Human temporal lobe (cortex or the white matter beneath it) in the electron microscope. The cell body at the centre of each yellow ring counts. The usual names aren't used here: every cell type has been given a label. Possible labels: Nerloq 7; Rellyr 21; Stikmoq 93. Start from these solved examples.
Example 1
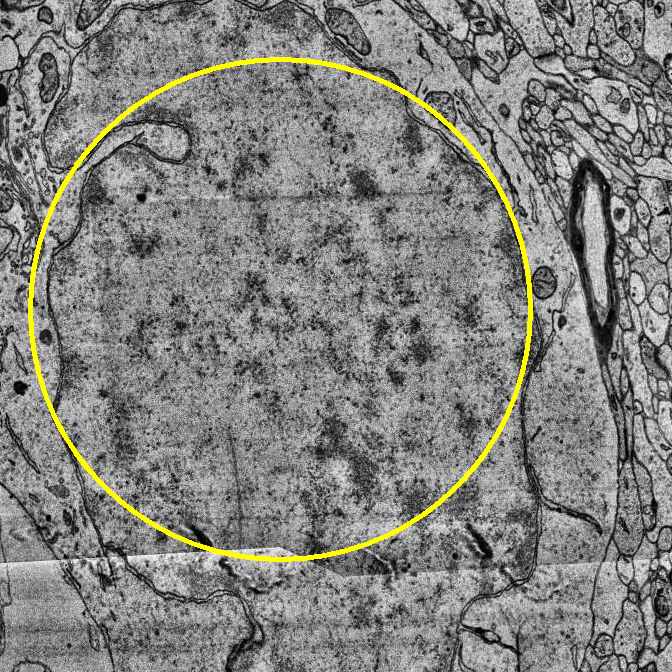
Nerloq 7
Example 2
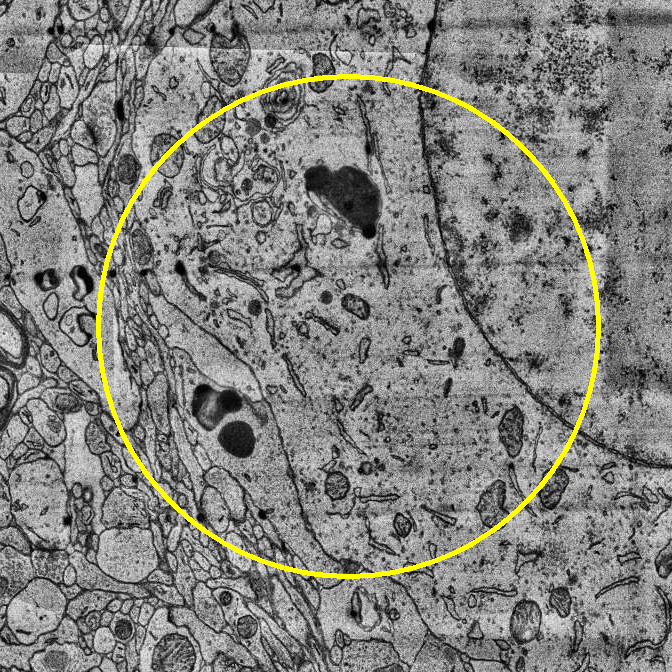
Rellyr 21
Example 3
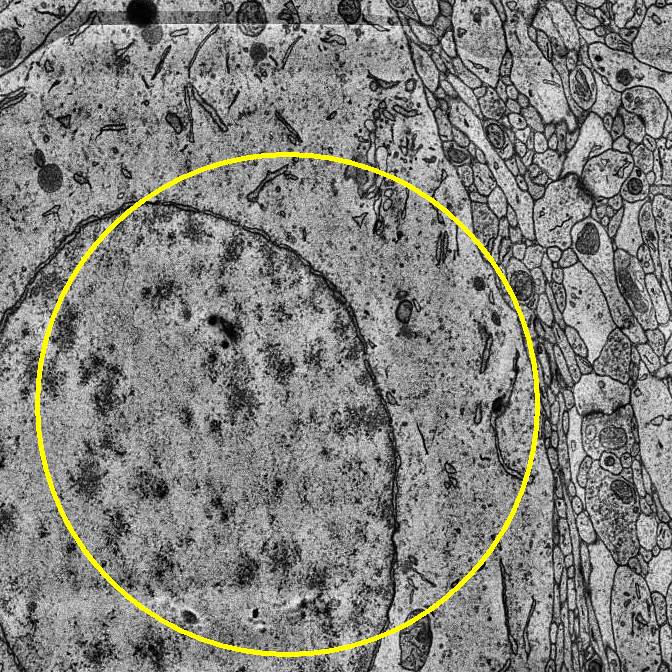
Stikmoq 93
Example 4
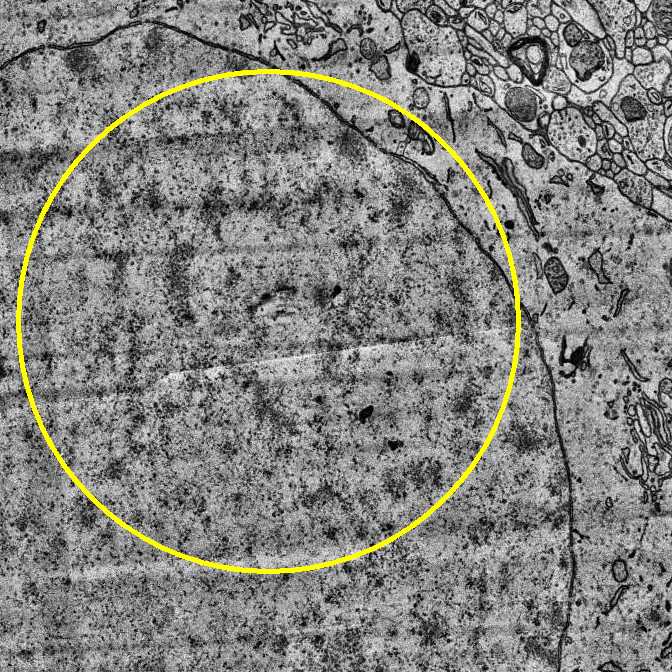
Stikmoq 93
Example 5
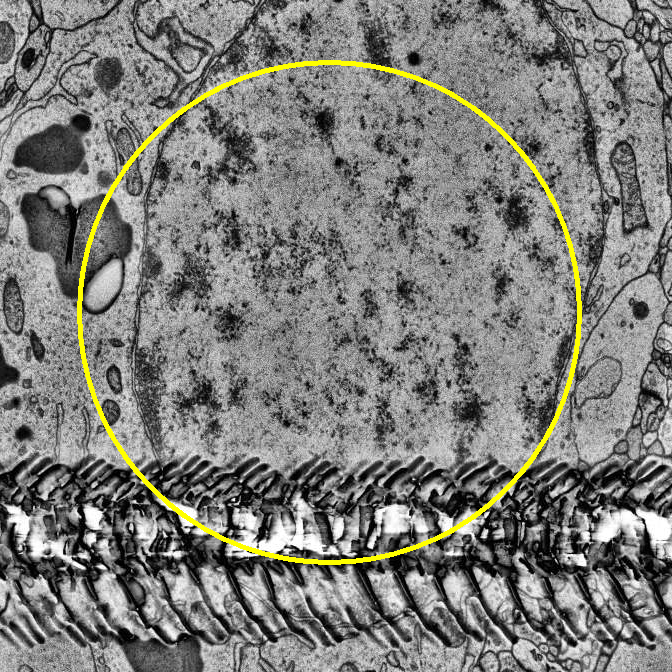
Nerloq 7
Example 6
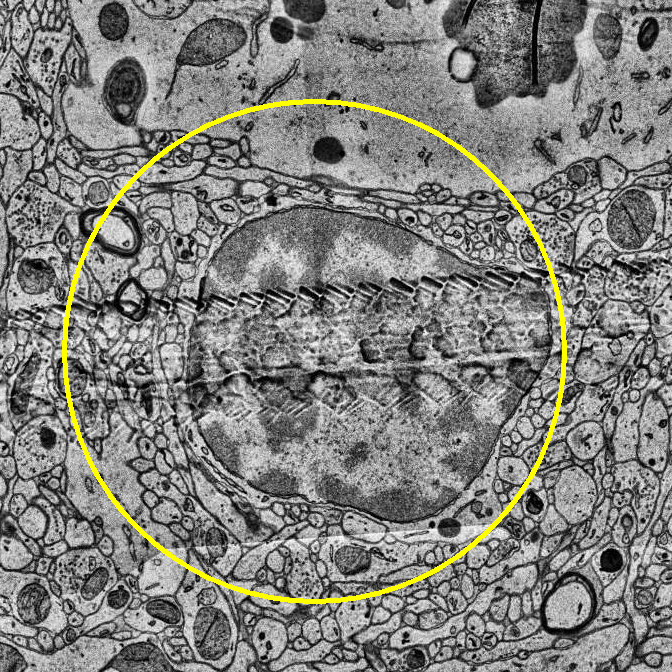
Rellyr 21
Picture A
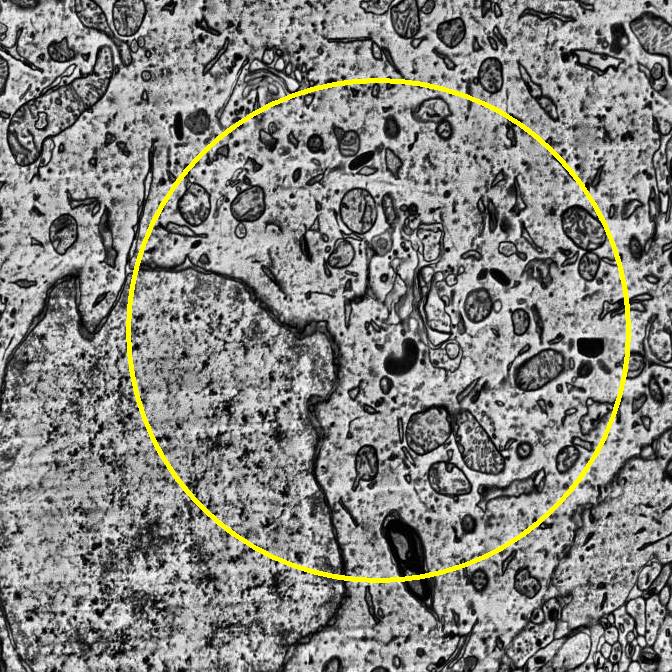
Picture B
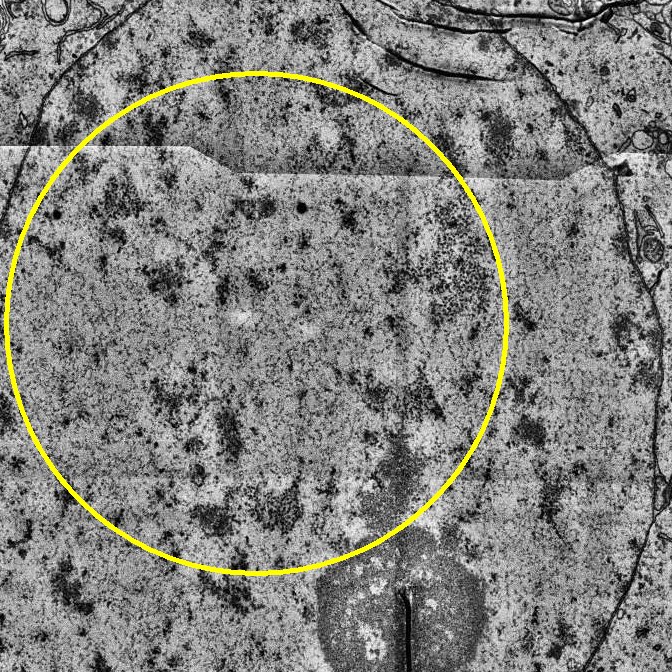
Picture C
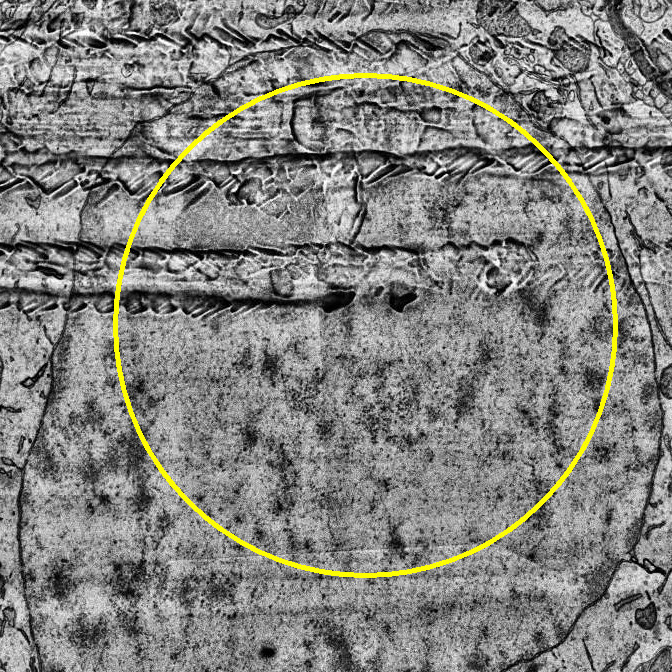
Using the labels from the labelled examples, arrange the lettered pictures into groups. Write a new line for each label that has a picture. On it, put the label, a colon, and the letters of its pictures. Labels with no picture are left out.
Nerloq 7: A
Stikmoq 93: B, C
